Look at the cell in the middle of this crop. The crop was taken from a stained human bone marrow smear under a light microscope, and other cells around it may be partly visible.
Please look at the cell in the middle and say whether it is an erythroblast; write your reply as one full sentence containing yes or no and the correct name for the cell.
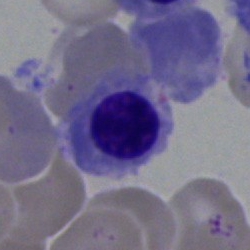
Yes, the cell in the middle is an erythroblast.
